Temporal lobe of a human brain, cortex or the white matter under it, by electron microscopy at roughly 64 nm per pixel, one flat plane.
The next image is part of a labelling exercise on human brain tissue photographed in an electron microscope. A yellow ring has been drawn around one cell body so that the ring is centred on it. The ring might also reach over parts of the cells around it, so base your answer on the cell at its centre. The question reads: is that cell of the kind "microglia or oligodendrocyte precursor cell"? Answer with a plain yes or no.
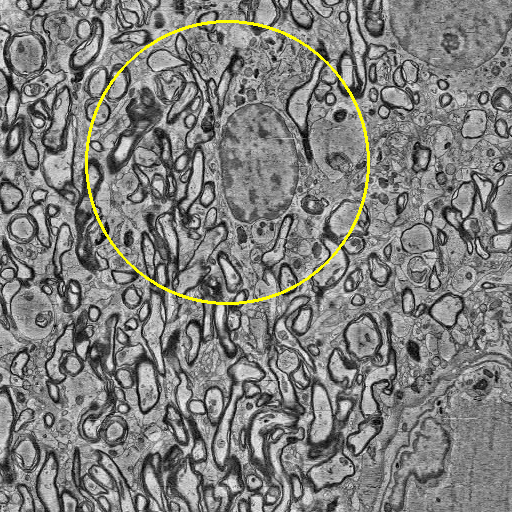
yes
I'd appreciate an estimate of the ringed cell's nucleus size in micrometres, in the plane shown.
The nucleus of the ringed cell is approximately 8 by 5 micrometres in this plane.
